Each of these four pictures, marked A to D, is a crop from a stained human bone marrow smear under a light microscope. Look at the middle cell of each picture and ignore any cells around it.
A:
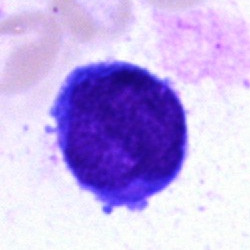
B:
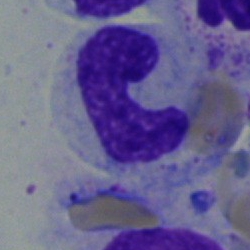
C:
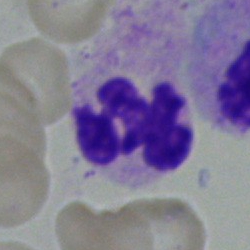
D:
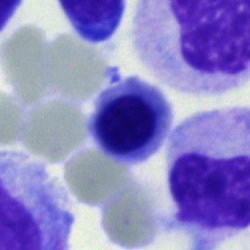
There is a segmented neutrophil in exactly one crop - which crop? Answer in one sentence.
In the set of crops, crop C is the one that contains a segmented neutrophil.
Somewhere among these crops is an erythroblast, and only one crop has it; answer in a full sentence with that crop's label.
It is in crop D, among all the crops, that an erythroblast is present.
